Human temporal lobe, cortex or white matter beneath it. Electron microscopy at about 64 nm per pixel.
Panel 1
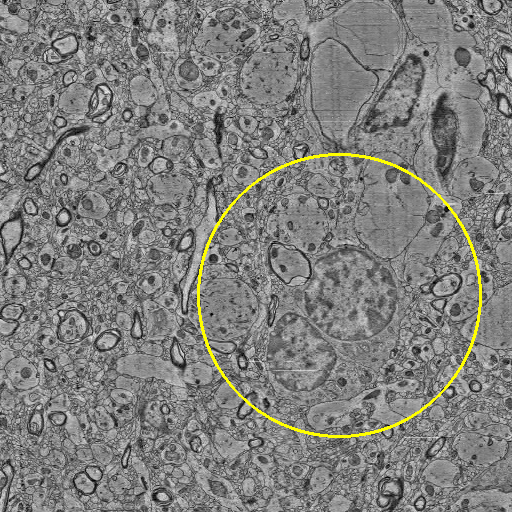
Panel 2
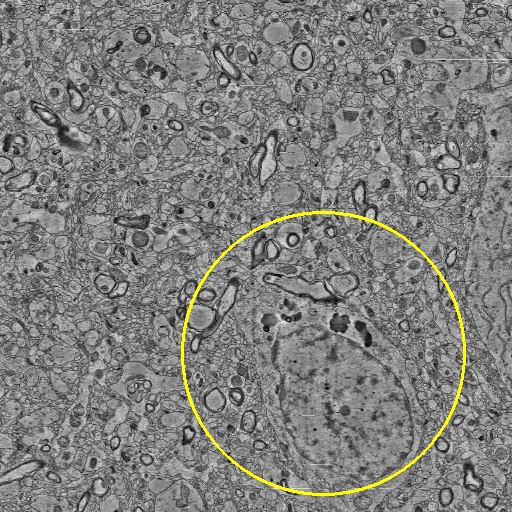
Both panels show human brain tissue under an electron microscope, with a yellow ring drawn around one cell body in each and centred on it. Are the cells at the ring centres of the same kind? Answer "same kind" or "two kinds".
two kinds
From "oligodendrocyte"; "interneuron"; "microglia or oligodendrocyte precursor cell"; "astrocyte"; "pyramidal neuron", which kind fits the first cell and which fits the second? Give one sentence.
The cell marked in the first picture is an oligodendrocyte, and the one marked in the second is an interneuron.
